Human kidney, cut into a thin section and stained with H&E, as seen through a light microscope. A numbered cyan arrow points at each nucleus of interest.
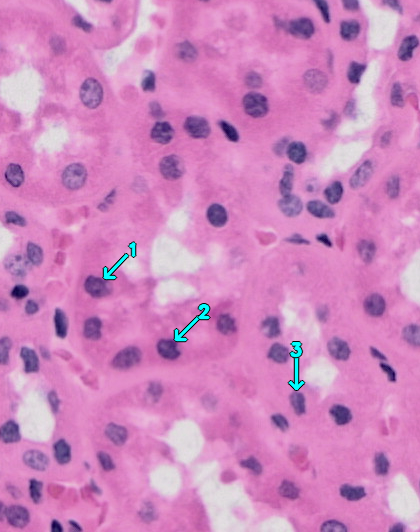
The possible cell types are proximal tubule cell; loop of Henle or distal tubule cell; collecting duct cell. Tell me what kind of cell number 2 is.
proximal tubule cell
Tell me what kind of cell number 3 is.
loop of Henle or distal tubule cell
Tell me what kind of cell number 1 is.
proximal tubule cell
